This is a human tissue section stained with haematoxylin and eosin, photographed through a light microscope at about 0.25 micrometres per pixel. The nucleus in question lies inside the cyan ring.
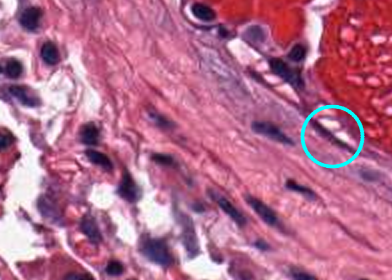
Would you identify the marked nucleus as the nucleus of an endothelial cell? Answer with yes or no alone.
yes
